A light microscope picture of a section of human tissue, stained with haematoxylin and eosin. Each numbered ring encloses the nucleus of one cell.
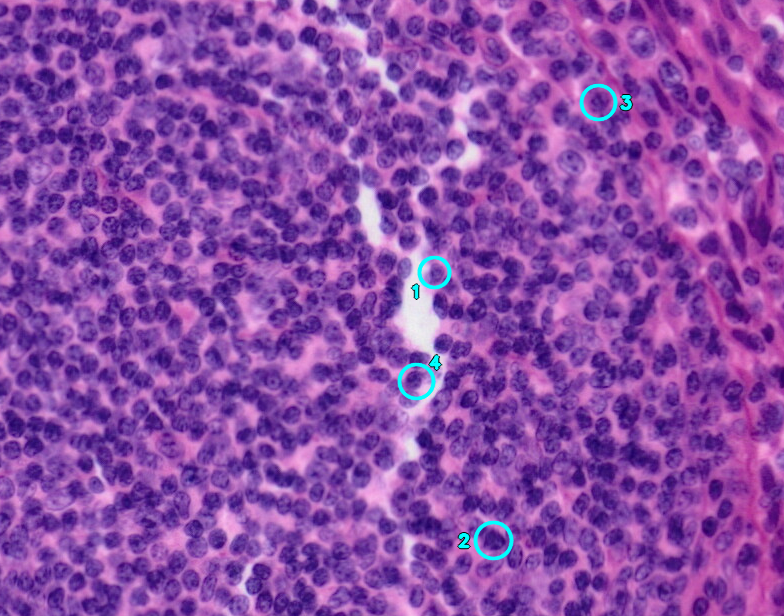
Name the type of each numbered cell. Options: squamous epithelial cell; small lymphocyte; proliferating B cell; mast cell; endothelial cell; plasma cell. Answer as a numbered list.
1. small lymphocyte
2. small lymphocyte
3. plasma cell
4. small lymphocyte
